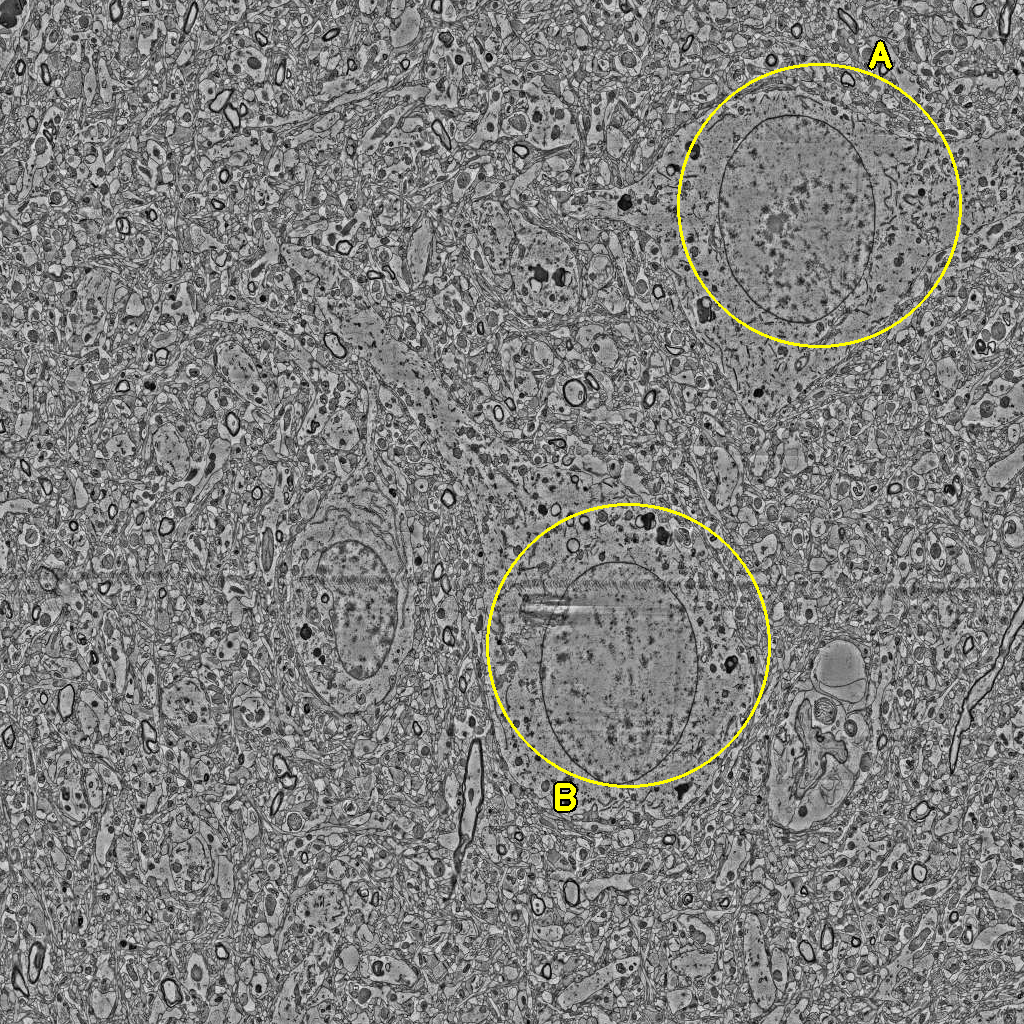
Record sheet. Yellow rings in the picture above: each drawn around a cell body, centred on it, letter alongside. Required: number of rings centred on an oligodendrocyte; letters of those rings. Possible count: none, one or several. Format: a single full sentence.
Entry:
There is no ring centred on an oligodendrocyte in this micrograph, and so the count is zero.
